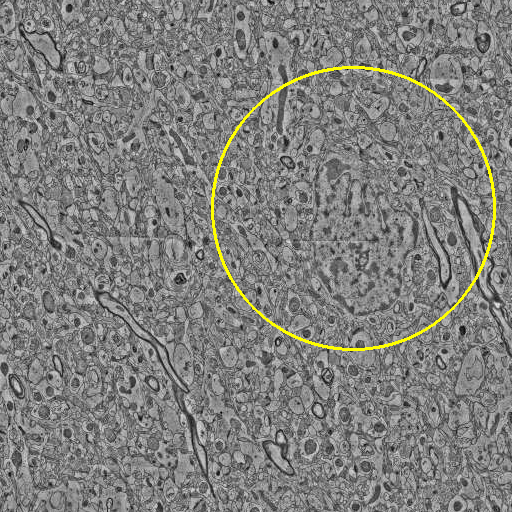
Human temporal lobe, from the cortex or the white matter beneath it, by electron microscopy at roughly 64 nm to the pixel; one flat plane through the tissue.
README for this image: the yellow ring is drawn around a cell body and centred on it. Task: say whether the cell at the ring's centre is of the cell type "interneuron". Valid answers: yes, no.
no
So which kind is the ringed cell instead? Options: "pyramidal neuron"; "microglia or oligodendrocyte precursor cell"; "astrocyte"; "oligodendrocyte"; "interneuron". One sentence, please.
Here, the ring is centred on a microglial cell or oligodendrocyte precursor cell instead.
